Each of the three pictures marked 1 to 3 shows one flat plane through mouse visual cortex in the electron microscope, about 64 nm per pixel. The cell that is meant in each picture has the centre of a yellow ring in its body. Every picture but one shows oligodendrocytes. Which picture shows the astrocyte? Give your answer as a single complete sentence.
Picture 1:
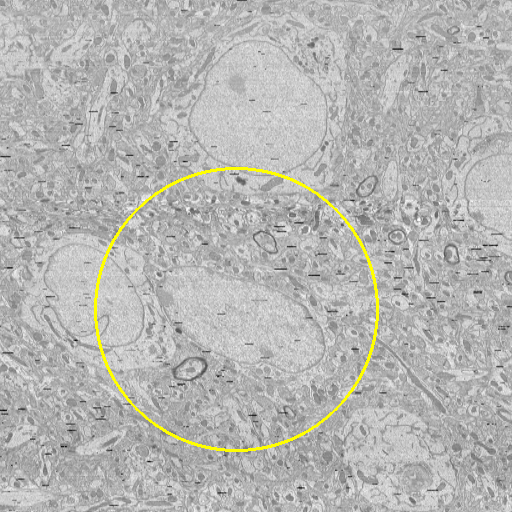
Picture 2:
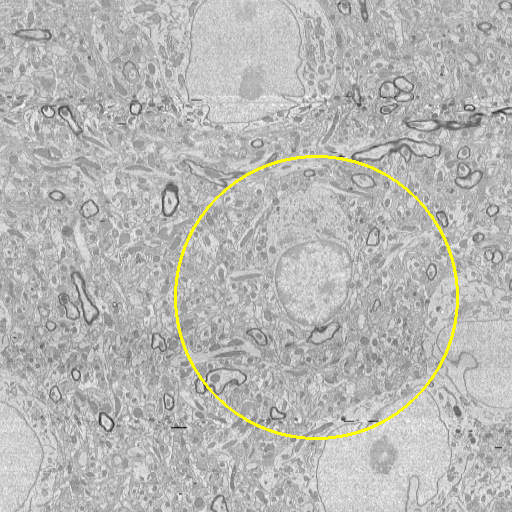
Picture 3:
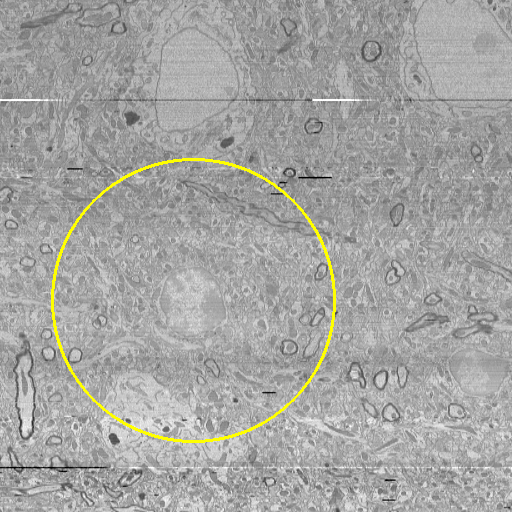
It is picture 1 that shows the astrocyte.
